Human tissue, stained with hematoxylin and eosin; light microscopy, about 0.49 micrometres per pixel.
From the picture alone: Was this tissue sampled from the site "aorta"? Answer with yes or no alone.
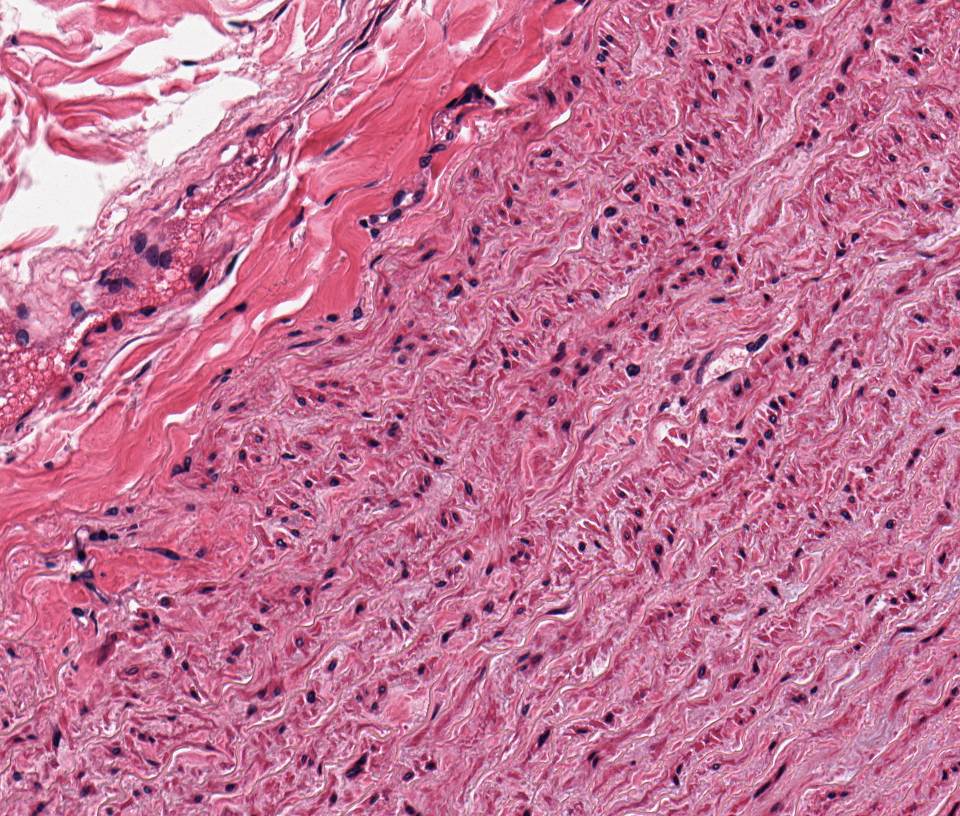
yes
